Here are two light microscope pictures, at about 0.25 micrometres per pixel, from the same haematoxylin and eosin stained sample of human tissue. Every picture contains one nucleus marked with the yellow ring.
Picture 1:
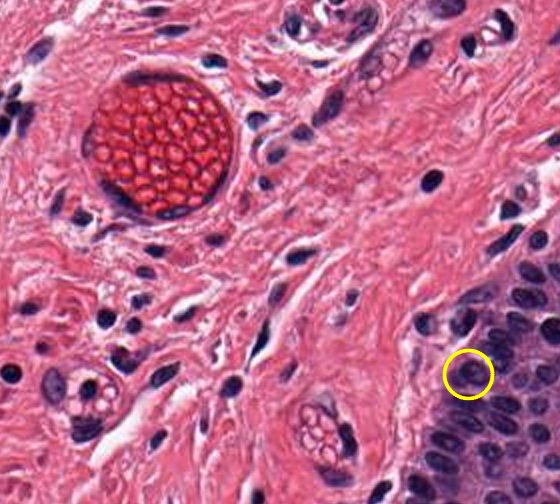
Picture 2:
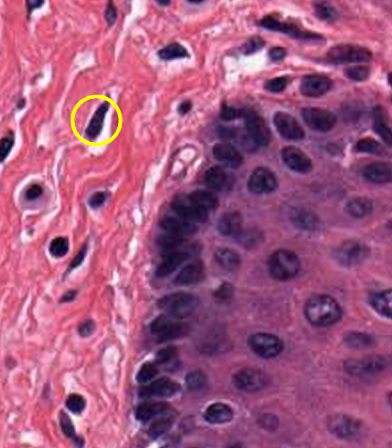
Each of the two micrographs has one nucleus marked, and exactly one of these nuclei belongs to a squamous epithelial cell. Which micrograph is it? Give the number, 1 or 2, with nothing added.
1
